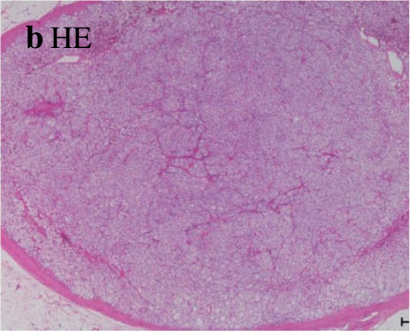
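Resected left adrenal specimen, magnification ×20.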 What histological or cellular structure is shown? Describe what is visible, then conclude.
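Capsulated nodules. A rounded mass of cells is bounded by a continuous pink fibrous band. Fine pink septa run through the pale cellular interior.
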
